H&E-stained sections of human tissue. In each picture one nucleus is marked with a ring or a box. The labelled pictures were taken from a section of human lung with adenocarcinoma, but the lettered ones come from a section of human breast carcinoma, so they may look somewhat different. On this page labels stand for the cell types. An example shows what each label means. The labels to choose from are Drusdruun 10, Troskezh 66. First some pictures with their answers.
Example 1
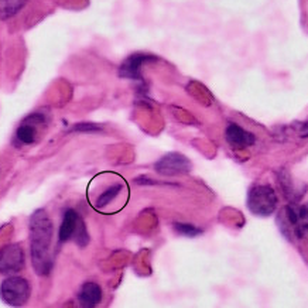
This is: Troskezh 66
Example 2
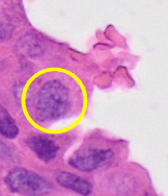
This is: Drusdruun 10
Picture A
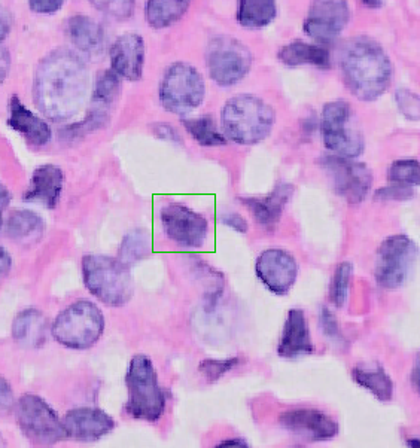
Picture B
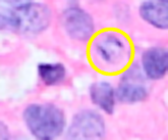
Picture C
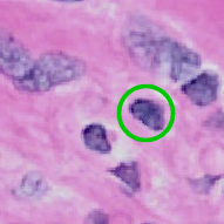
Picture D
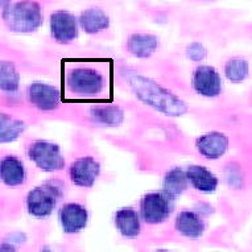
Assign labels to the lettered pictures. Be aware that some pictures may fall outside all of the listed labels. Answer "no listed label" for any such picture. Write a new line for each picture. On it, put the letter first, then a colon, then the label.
A: Drusdruun 10
B: Troskezh 66
C: no listed label
D: no listed label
